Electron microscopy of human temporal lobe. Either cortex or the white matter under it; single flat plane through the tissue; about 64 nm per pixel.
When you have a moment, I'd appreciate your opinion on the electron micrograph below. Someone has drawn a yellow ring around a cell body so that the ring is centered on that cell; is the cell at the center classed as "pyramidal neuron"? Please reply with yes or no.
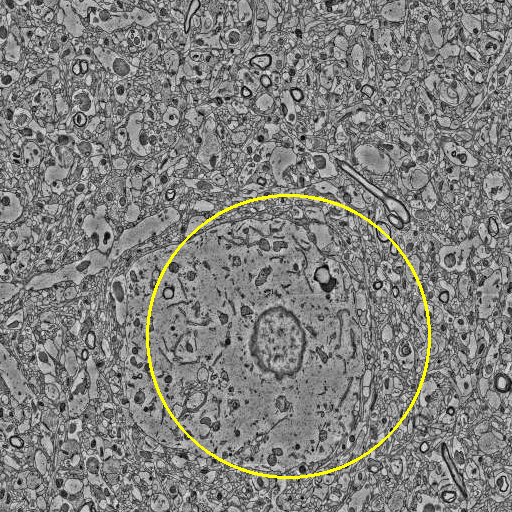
Yes, that cell is of the named kind.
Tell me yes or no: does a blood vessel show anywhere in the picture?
No, none appears.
